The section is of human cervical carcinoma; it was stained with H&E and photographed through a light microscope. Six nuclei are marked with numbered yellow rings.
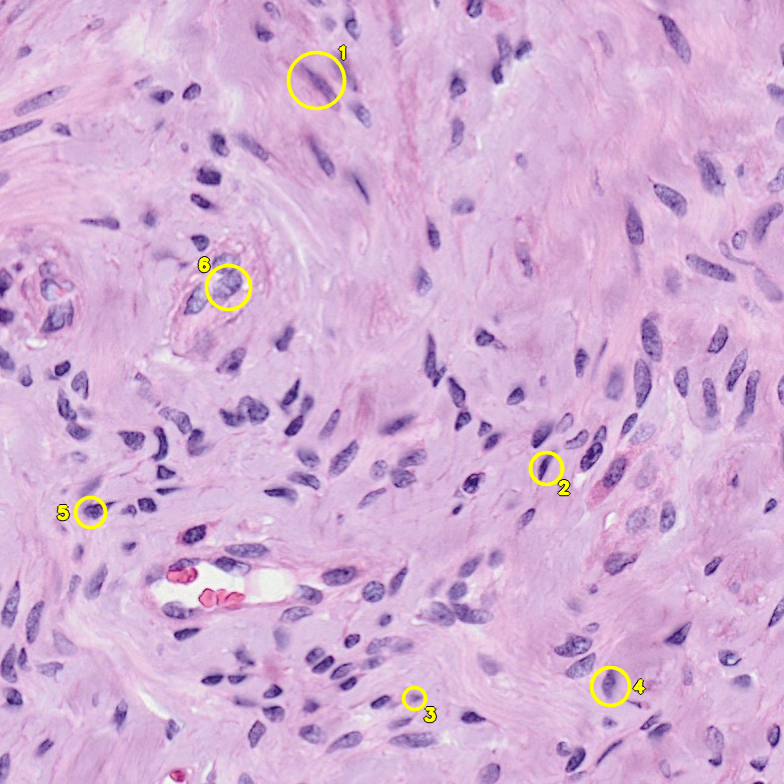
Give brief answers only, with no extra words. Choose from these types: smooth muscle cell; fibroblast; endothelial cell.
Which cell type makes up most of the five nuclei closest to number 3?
fibroblast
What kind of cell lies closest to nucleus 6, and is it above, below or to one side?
an endothelial cell above nucleus 6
